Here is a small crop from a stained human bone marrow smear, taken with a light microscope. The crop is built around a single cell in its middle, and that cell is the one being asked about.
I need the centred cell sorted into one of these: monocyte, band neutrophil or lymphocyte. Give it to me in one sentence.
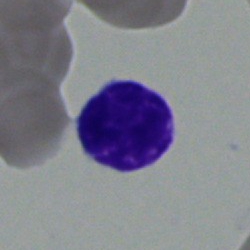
Occupying the centre of the crop is a lymphocyte.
